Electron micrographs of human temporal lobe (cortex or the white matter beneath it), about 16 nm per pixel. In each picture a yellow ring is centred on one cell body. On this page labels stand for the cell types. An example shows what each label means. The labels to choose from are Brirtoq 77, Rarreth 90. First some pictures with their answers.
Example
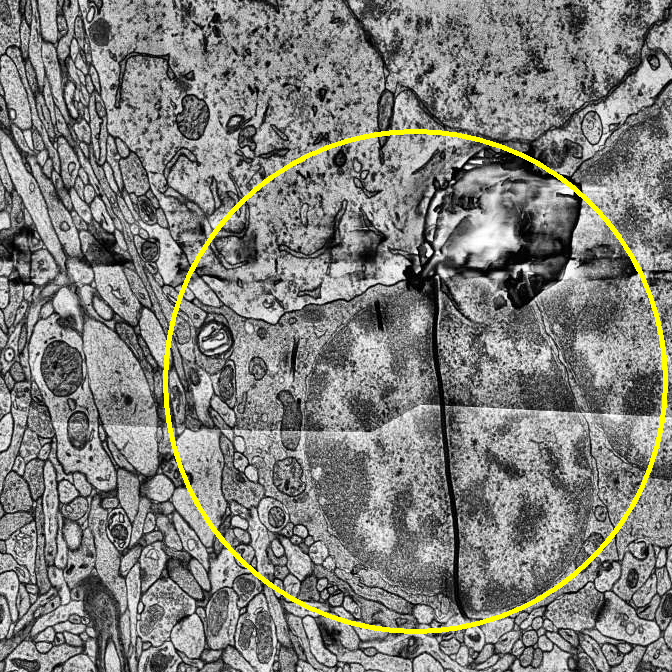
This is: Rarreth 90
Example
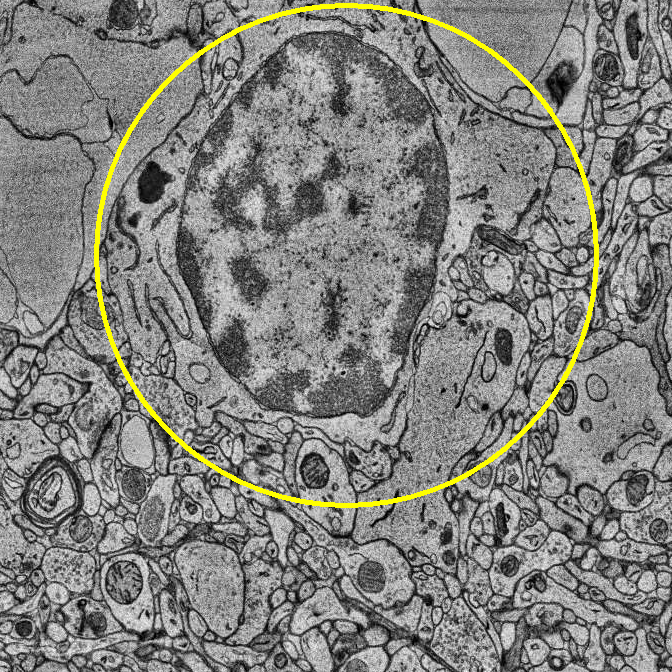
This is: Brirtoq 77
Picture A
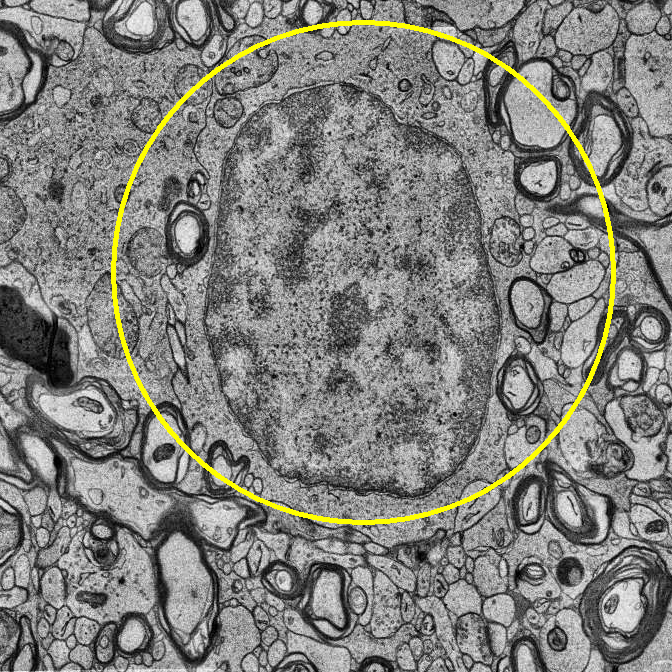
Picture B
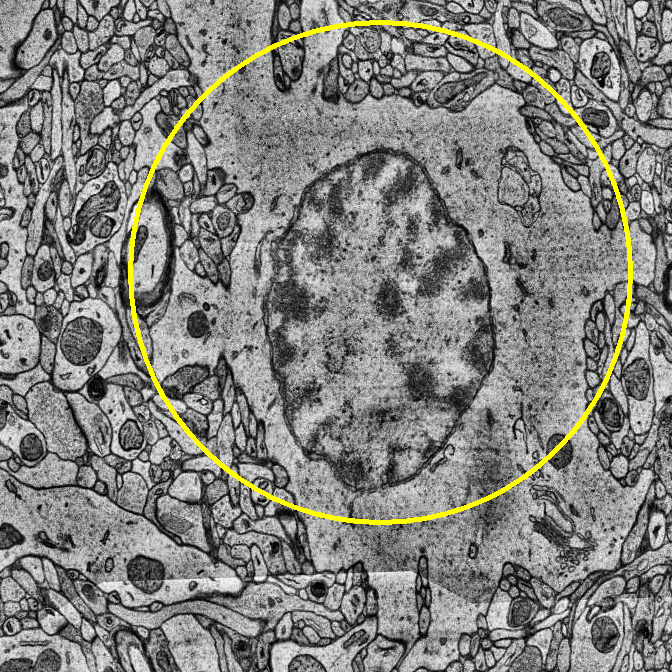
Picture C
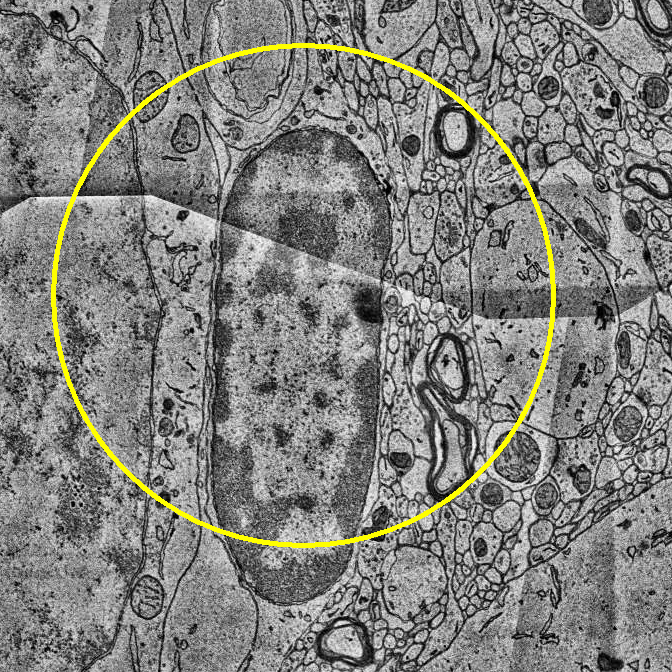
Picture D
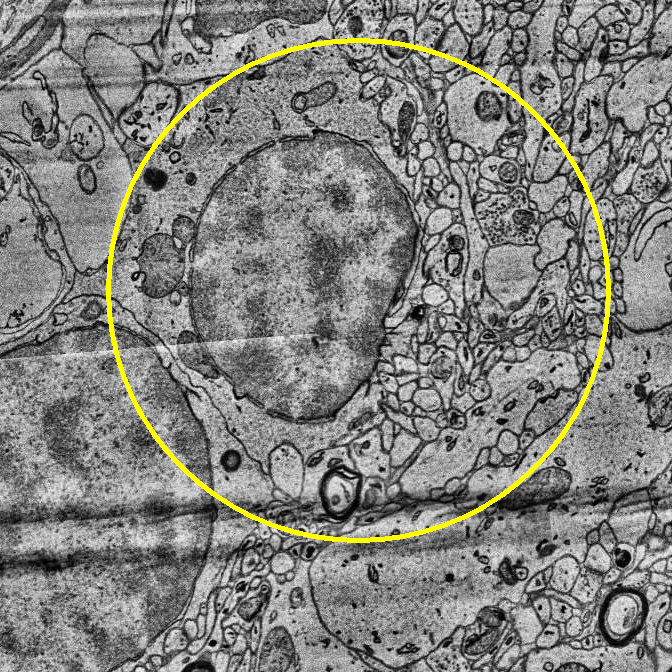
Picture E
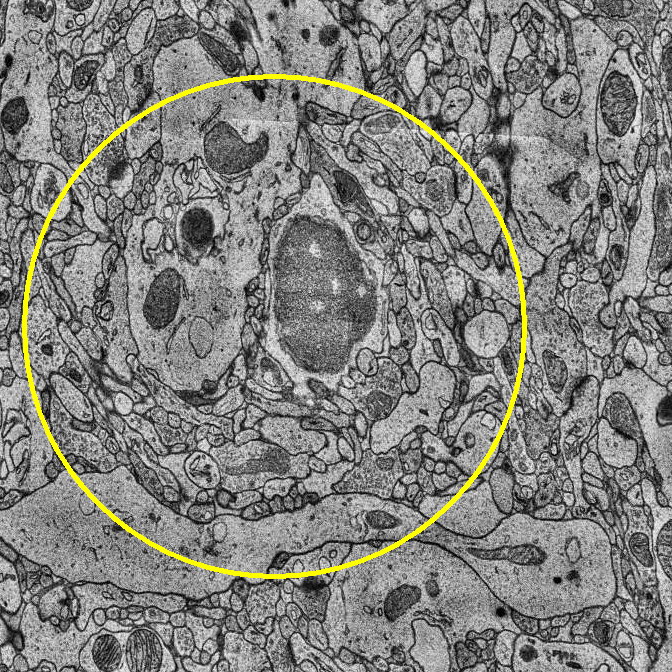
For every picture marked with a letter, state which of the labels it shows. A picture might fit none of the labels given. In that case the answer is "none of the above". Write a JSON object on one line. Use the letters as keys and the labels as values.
{"A": "Rarreth 90", "B": "none of the above", "C": "Brirtoq 77", "D": "Rarreth 90", "E": "Brirtoq 77"}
